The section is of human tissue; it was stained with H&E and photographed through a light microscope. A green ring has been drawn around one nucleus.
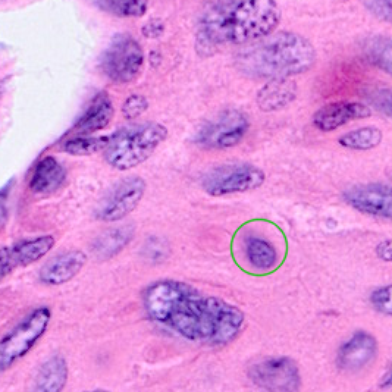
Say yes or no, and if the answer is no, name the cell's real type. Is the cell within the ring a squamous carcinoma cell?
Yes.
